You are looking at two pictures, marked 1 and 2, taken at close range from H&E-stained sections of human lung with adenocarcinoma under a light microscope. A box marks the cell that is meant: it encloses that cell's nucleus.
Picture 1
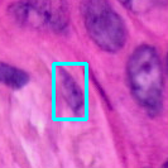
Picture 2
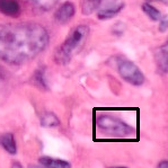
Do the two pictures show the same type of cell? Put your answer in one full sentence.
Yes, they are the same type: both are fibroblasts.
